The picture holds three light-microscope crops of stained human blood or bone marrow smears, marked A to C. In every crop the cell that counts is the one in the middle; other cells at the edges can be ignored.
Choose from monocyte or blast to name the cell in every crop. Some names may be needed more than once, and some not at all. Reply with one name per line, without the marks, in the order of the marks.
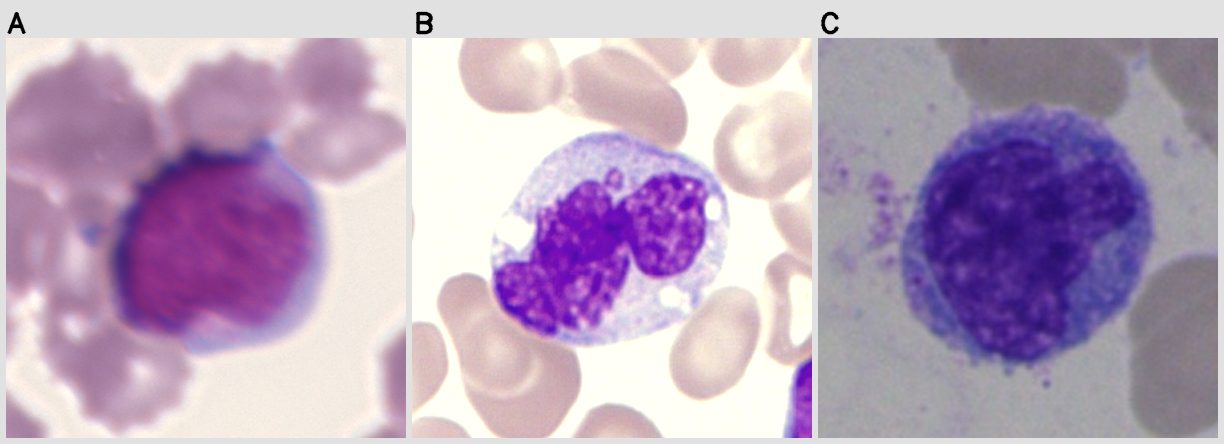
blast
monocyte
monocyte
